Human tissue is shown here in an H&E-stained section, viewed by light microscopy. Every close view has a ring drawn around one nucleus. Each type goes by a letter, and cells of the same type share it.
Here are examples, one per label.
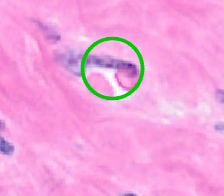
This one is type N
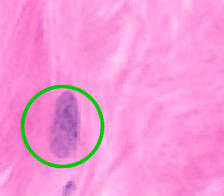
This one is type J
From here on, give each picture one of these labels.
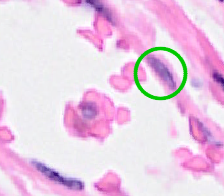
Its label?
type N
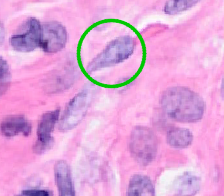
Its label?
type N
